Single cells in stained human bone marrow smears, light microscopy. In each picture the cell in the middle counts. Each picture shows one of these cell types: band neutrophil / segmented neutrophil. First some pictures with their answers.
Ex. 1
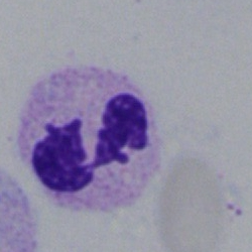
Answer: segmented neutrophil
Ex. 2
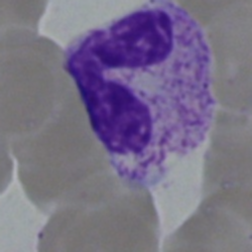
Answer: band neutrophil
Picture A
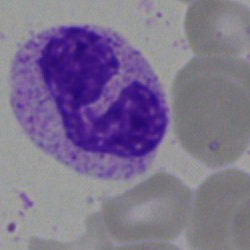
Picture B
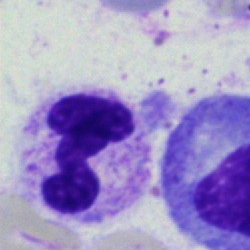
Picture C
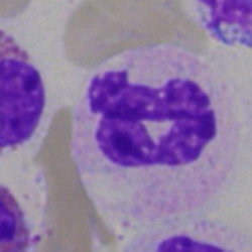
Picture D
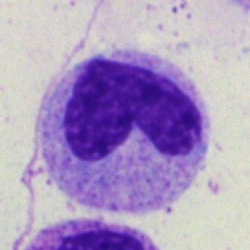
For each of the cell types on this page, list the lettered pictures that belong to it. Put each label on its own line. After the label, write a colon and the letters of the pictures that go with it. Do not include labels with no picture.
band neutrophil: D
segmented neutrophil: A, B, C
